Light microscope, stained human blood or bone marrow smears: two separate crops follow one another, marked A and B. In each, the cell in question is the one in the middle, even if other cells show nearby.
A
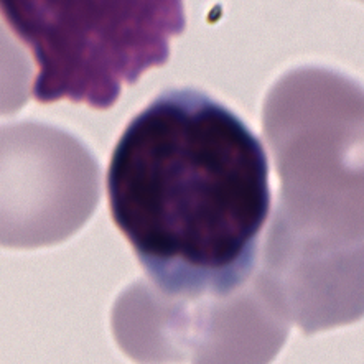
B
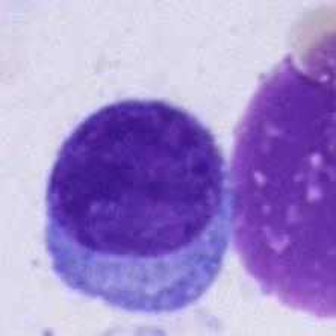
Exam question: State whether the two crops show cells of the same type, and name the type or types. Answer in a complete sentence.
No, crop A should be called a lymphocyte, and crop B should be called a plasma cell.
